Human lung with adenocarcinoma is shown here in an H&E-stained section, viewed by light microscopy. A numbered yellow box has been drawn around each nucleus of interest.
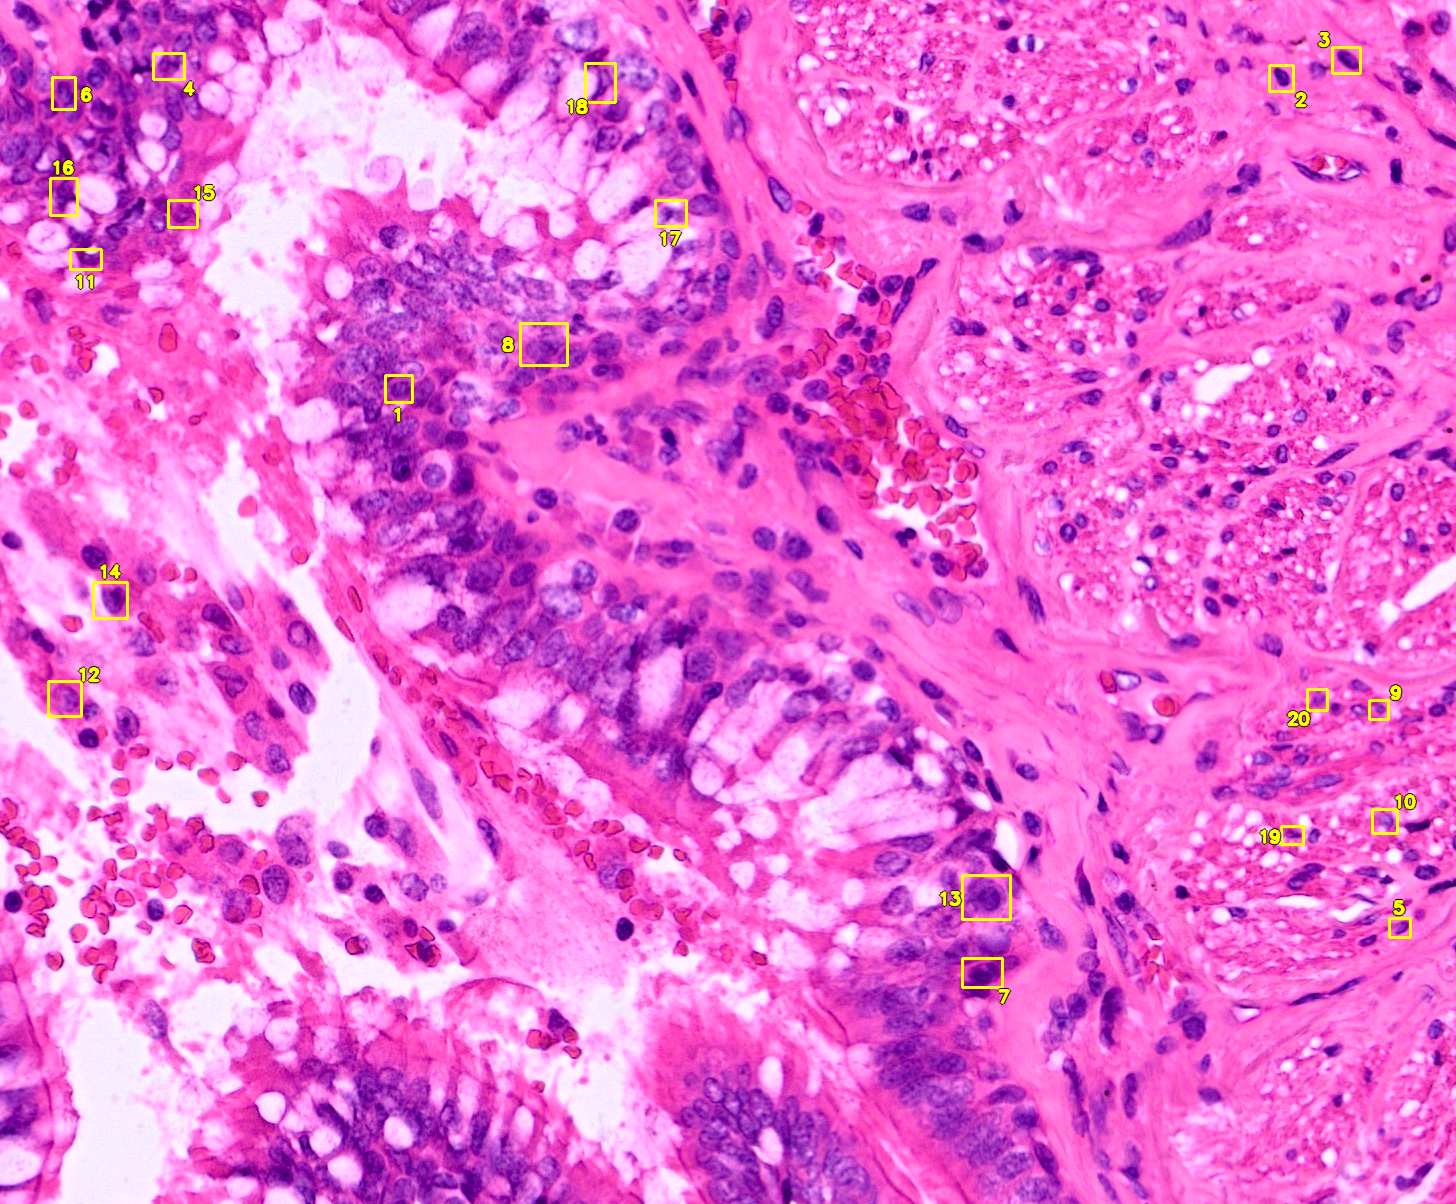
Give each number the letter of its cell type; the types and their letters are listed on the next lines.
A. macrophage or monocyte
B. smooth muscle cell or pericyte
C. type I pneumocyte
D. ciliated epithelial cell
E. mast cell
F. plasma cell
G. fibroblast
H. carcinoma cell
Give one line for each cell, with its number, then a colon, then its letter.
1: D
2: E
3: E
4: D
5: B
6: D
7: D
8: D
9: B
10: B
11: D
12: A
13: D
14: A
15: D
16: D
17: D
18: D
19: B
20: B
